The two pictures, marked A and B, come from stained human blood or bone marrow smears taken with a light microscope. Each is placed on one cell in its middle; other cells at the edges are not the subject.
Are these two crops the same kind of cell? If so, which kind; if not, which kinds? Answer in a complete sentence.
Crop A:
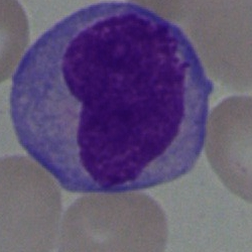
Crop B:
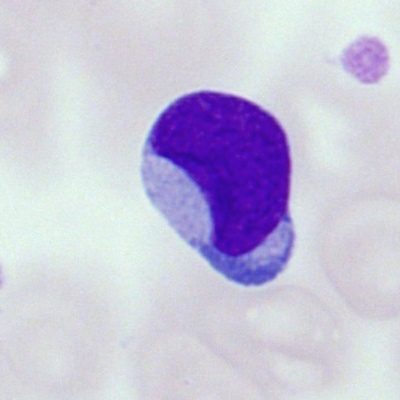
No, crop A captures a monocyte; meanwhile crop B captures a blast.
